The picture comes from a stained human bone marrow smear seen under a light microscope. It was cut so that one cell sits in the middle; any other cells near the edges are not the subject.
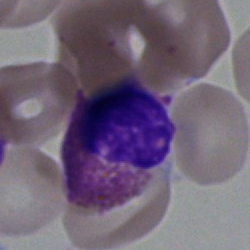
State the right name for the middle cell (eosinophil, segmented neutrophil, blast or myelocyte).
eosinophil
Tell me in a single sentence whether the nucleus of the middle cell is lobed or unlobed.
The nuclear material is gathered into one compact round, oval or kidney-shaped mass.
